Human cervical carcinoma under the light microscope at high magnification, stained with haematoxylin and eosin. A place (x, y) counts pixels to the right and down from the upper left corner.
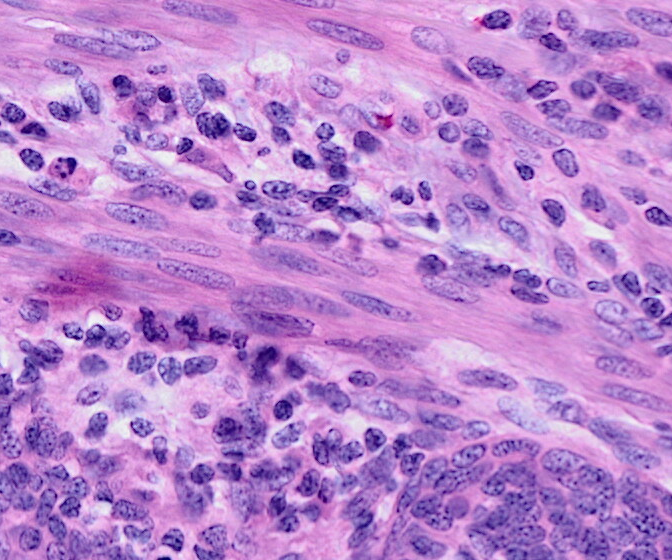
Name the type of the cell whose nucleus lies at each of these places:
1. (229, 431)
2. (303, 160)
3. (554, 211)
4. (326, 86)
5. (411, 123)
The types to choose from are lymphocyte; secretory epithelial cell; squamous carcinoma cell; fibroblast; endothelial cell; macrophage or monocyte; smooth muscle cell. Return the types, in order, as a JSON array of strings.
["lymphocyte", "lymphocyte", "lymphocyte", "endothelial cell", "endothelial cell"]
